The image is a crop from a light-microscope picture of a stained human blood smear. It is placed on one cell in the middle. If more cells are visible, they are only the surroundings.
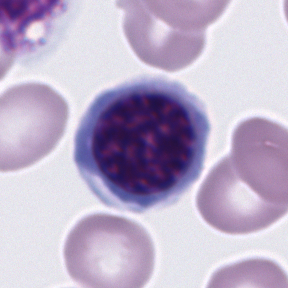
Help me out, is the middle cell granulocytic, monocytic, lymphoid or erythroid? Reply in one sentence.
The correct lineage for the cell at the center is the erythroid one.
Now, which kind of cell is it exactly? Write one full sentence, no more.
The centrally placed cell is classified as a normoblast.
